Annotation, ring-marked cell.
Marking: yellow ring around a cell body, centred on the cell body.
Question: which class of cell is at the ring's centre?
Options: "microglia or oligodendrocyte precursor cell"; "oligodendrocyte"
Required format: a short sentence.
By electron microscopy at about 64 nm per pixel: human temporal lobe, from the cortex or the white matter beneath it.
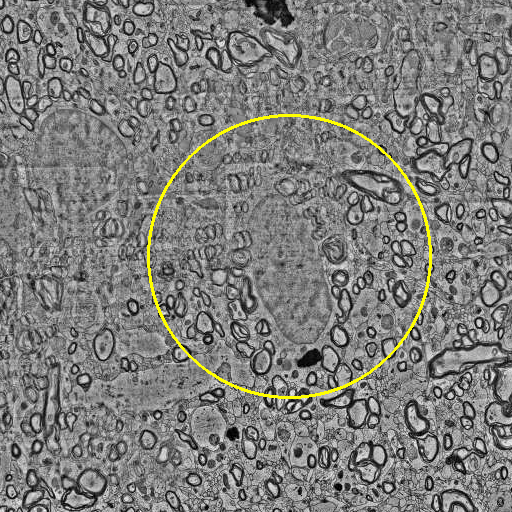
At the ring's centre is an oligodendrocyte.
